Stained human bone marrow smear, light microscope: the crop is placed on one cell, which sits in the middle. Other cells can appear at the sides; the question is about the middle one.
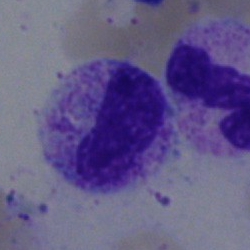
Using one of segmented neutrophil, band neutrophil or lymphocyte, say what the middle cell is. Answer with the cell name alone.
band neutrophil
